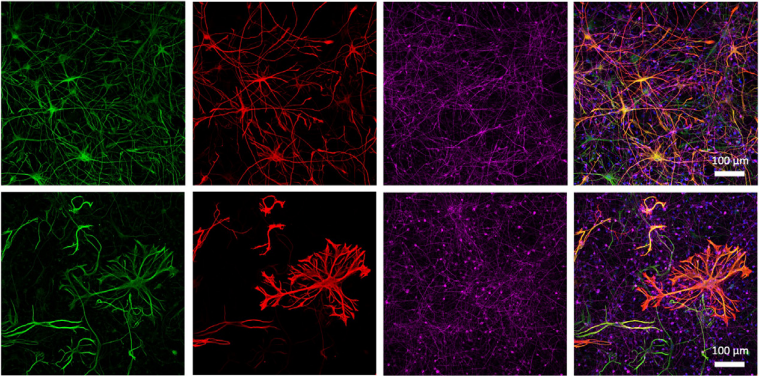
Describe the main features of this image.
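This is a mixed culture of neurons and astrocytes. The astrocytes stand out in red and green as star-shaped cells whose several long, branching processes spread out from a small central body. A dense, fine magenta network of thin neuronal processes covers the whole field beneath them, and in the lower row one large astrocyte with many thick, tufted branches dominates the field.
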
